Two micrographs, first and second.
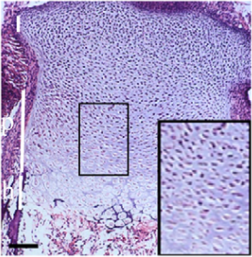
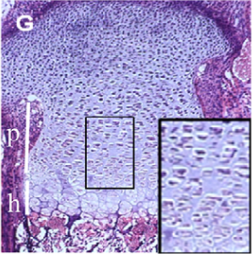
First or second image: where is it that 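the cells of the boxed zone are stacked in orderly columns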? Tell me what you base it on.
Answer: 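The second image. First image: the inset shows cells lying irregularly, without clear columns. Second image: the inset shows flattened cells stacked one above another in columns.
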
